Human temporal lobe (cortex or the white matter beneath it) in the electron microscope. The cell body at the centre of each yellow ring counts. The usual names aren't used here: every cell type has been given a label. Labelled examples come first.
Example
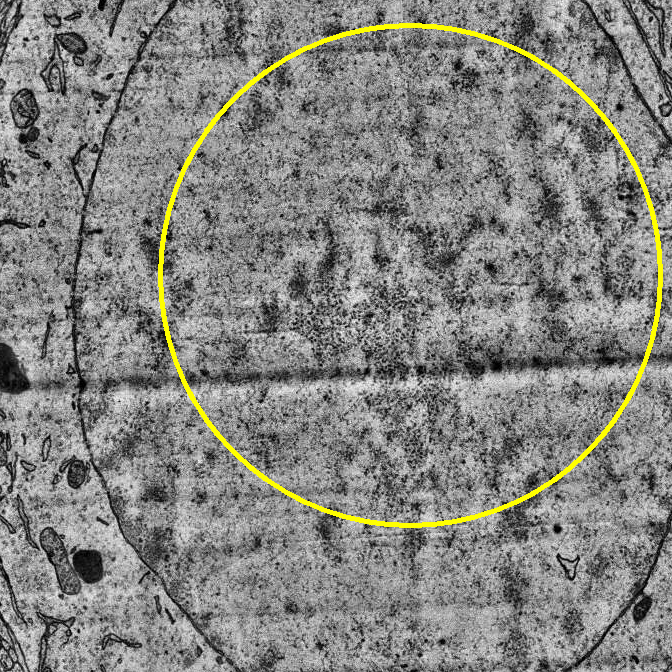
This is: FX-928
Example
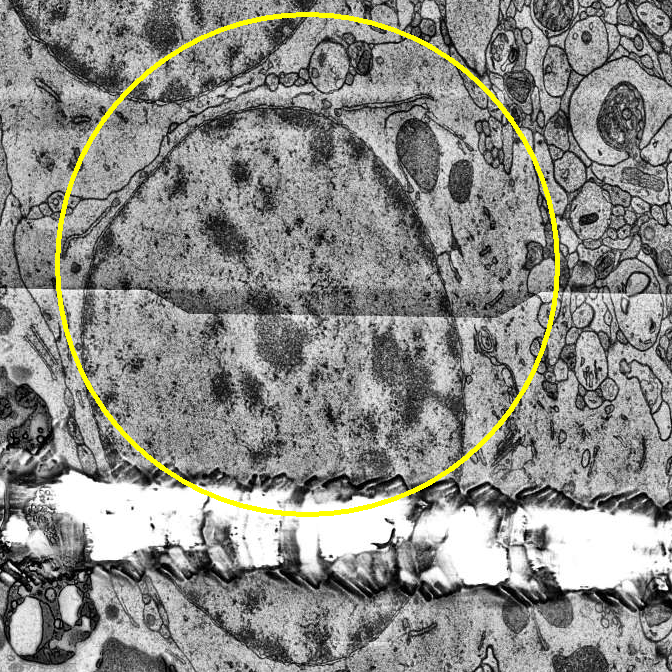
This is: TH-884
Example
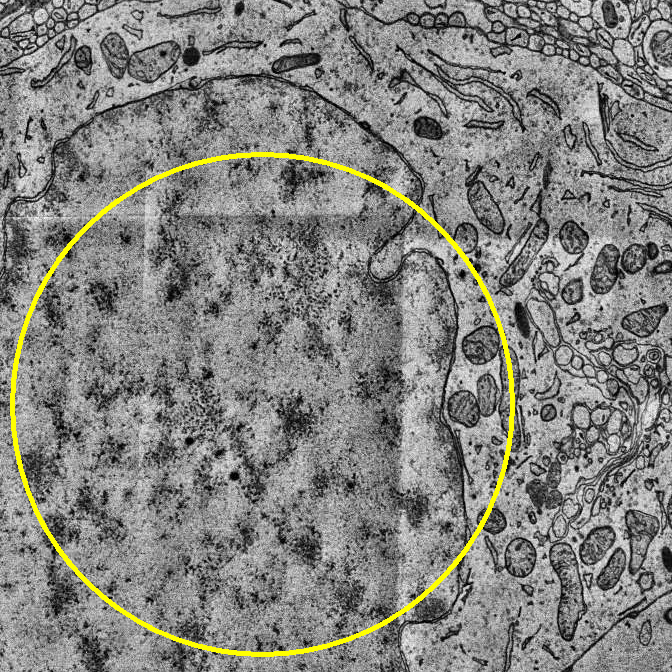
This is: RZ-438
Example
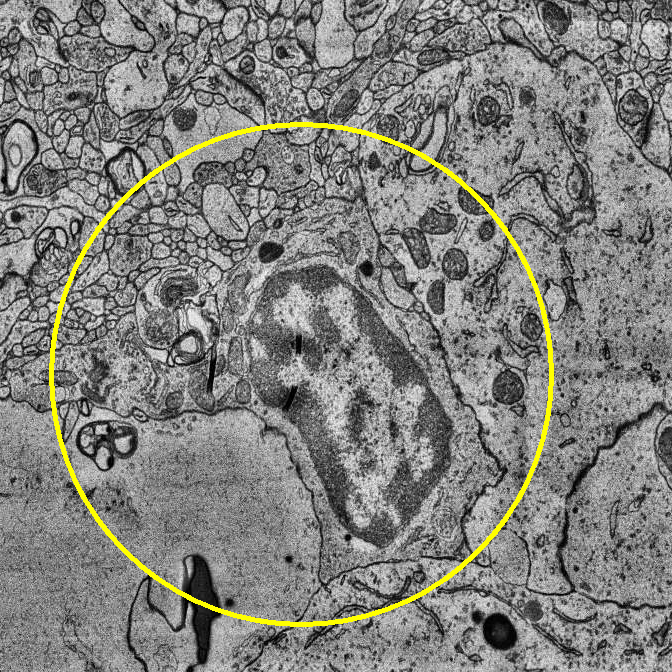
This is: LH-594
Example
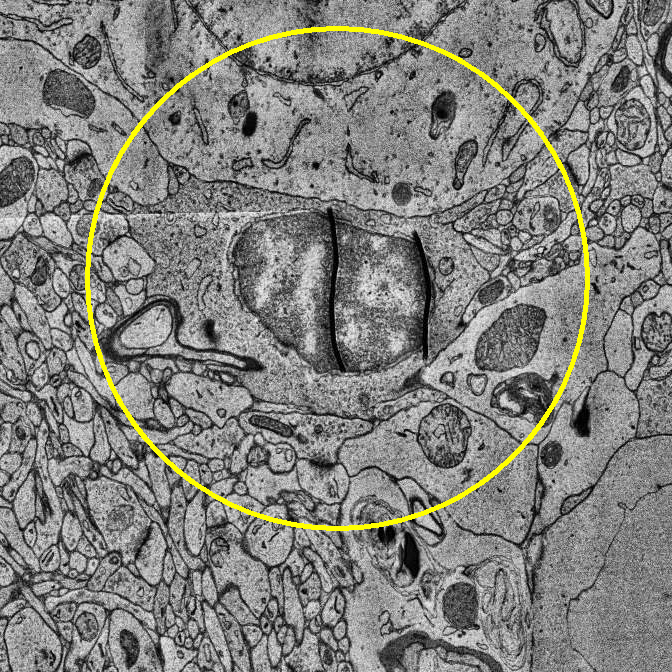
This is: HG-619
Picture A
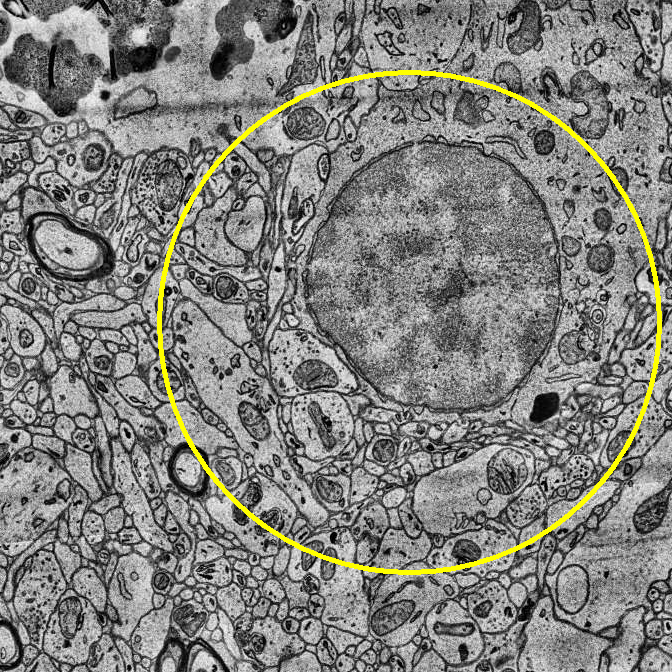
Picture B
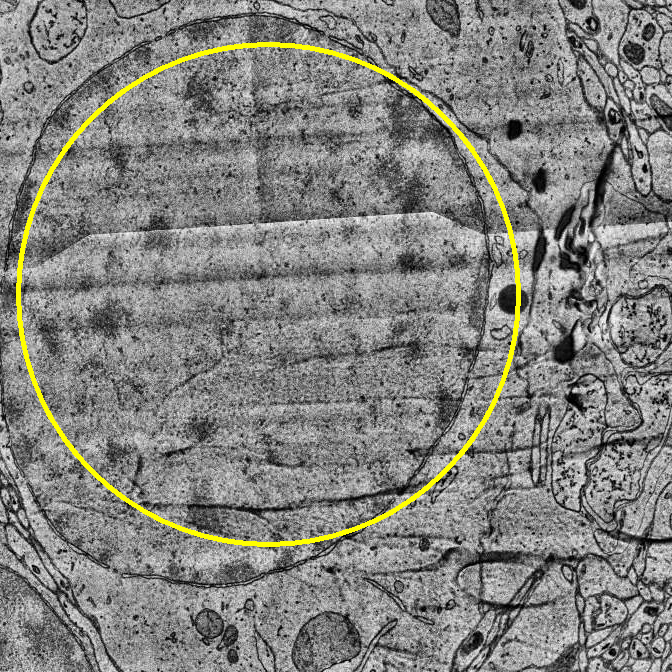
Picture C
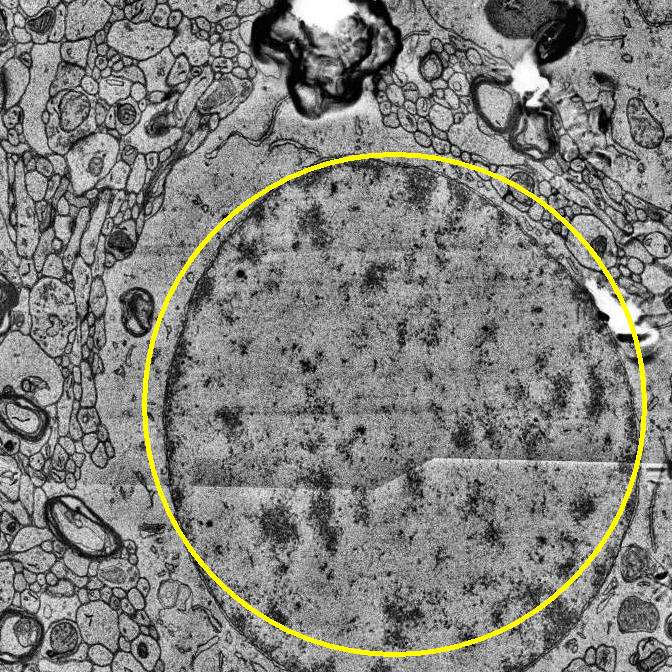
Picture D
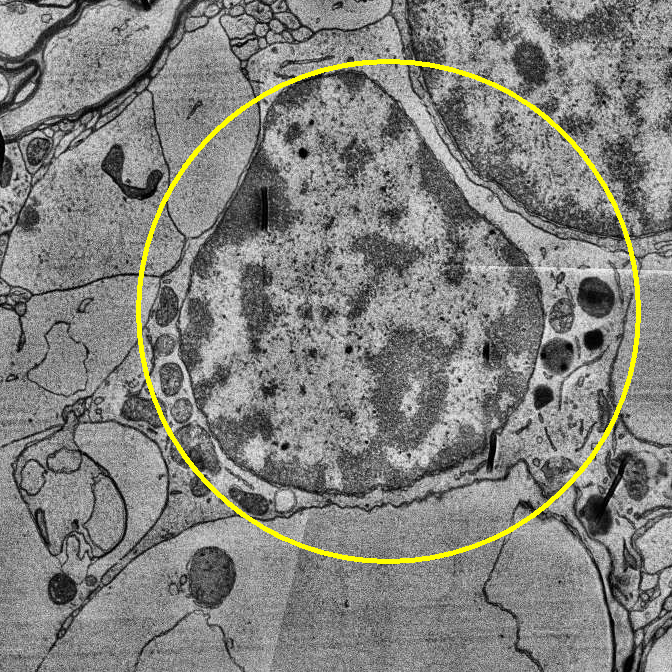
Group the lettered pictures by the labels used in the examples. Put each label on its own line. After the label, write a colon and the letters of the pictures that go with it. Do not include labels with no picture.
TH-884: B, C
LH-594: D
HG-619: A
